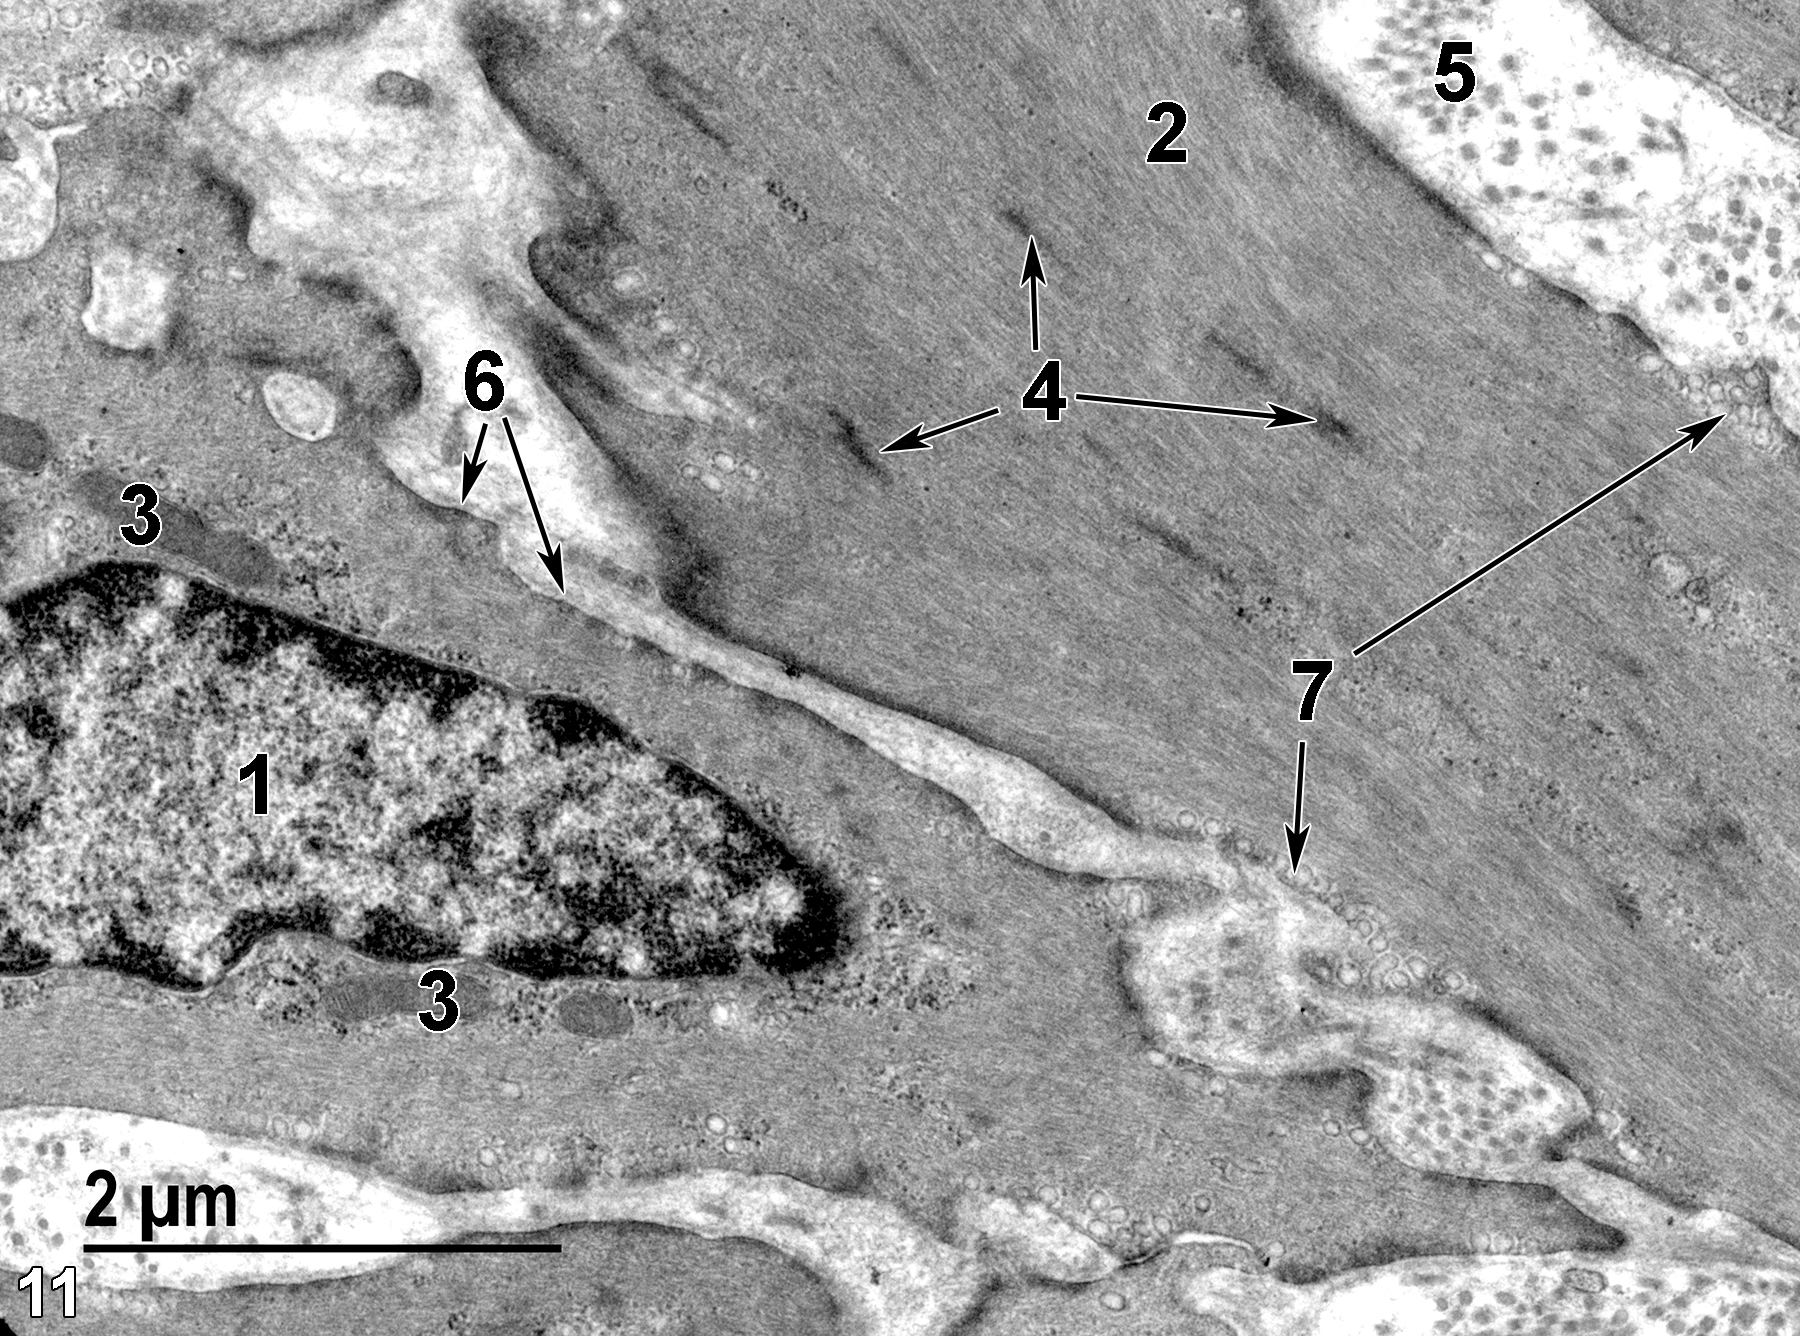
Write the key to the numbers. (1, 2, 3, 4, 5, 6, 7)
1 - nucleus
2 - cytoplasmic protein fibrils
3 - mitochondria
4 - electron-dense patches
5 - collagen fibrils
6 - basal lamina
7 - micro-pinocytotic vesicles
